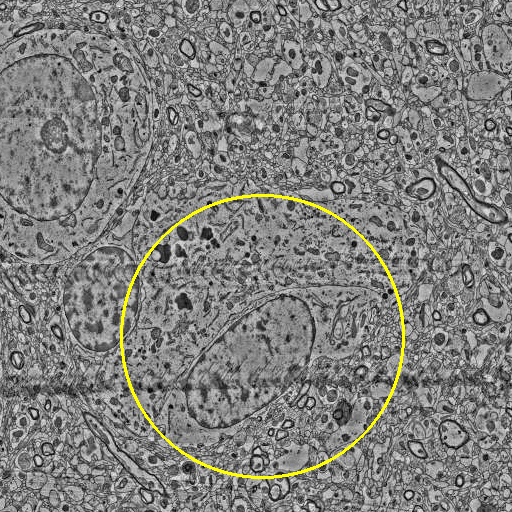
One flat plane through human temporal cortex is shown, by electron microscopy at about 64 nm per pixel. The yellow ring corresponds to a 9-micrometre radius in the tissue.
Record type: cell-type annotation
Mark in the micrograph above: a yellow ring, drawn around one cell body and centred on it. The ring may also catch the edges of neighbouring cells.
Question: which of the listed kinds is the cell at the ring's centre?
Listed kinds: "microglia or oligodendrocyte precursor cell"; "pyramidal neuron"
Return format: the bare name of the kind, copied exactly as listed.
microglia or oligodendrocyte precursor cell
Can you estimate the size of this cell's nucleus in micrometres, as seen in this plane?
Clearly longer than it is wide in this plane, the nucleus measures roughly 10 by 6 micrometres.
